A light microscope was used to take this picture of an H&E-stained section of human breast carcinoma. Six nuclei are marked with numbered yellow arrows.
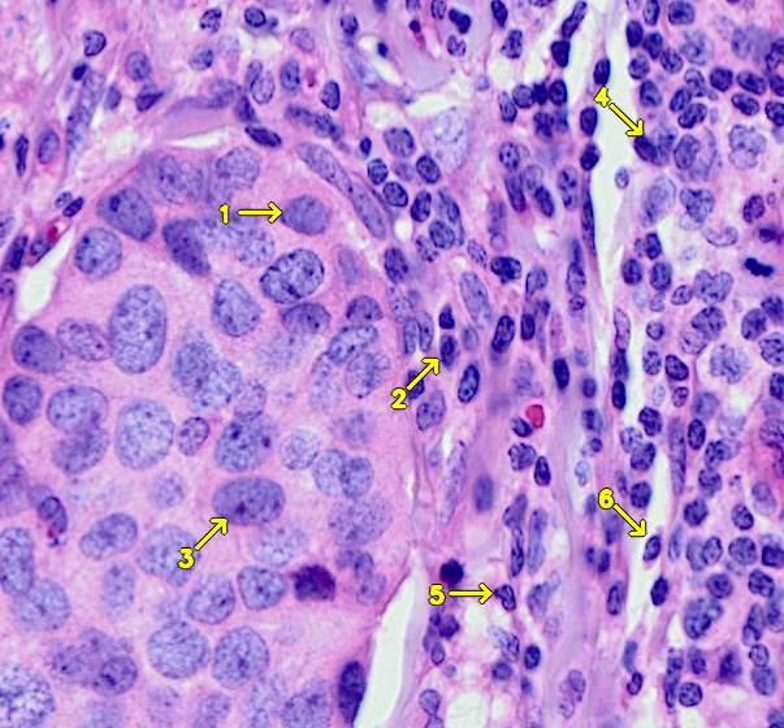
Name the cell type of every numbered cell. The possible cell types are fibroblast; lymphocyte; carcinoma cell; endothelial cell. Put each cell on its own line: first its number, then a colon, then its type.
1: carcinoma cell
2: lymphocyte
3: carcinoma cell
4: lymphocyte
5: lymphocyte
6: lymphocyte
